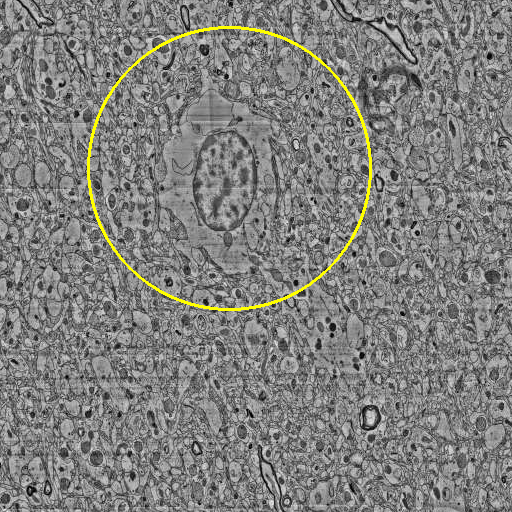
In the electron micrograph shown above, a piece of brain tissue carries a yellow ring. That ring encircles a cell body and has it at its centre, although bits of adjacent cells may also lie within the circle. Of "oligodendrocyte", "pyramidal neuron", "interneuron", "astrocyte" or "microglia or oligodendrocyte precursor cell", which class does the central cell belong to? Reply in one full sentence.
The cell body at the centre of the yellow ring belongs to an astrocyte.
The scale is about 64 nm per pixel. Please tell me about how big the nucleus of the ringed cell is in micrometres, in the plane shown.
The nucleus of the ringed cell is clearly longer than it is wide in this plane, about 6 by 4 micrometres.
